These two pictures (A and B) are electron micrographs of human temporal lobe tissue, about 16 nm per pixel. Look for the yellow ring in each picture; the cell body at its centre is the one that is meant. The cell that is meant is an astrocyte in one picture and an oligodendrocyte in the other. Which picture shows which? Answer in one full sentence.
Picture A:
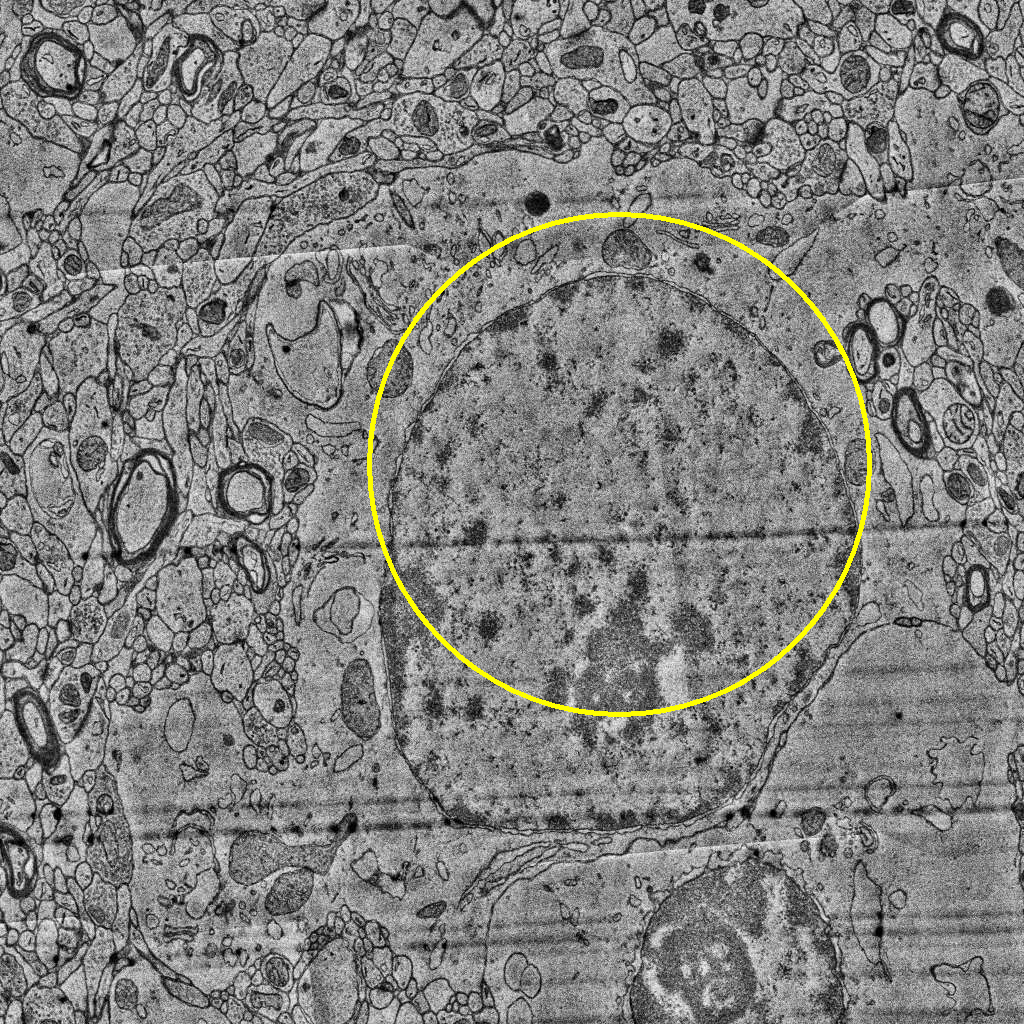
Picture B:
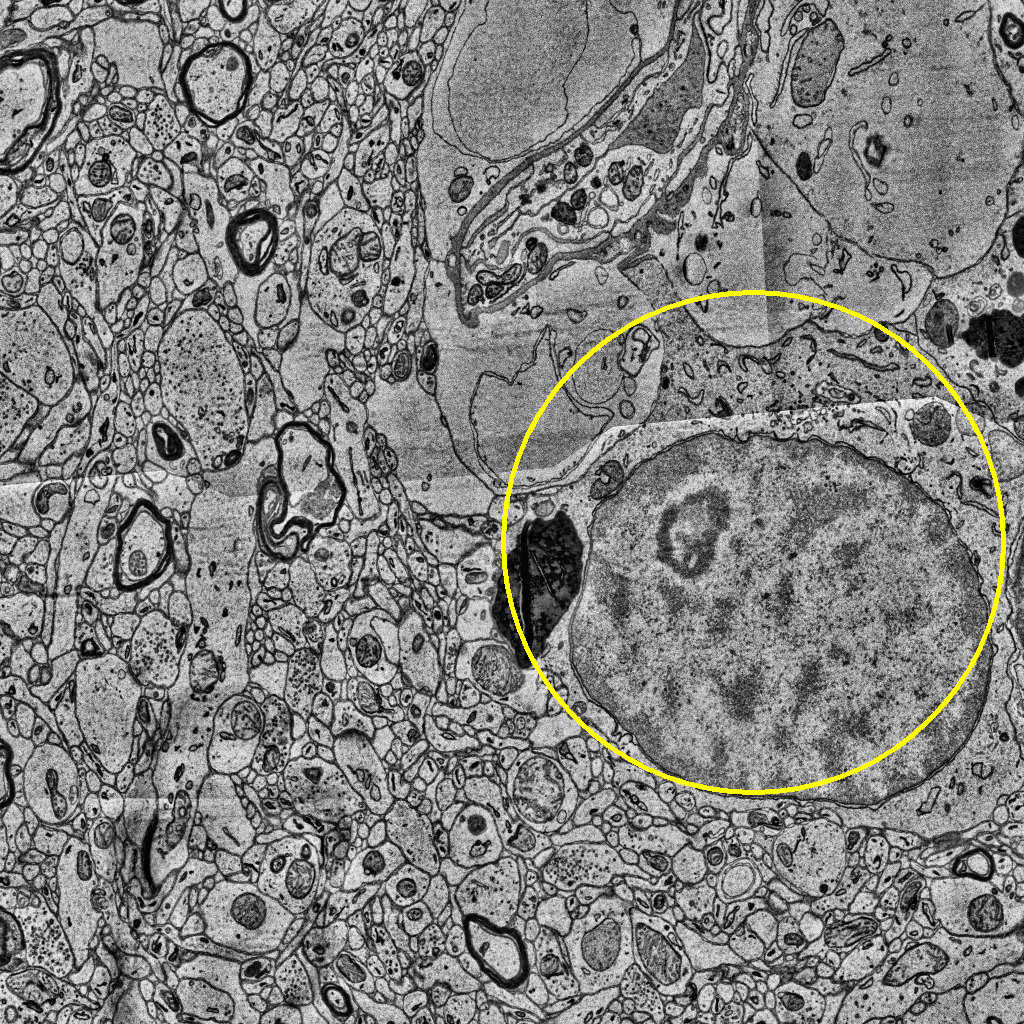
Picture A shows an astrocyte and picture B shows an oligodendrocyte.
